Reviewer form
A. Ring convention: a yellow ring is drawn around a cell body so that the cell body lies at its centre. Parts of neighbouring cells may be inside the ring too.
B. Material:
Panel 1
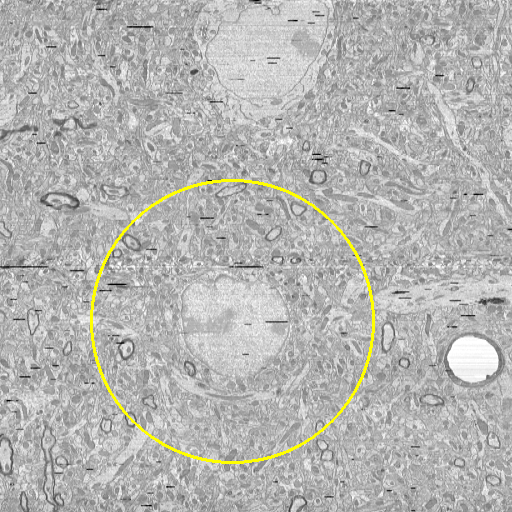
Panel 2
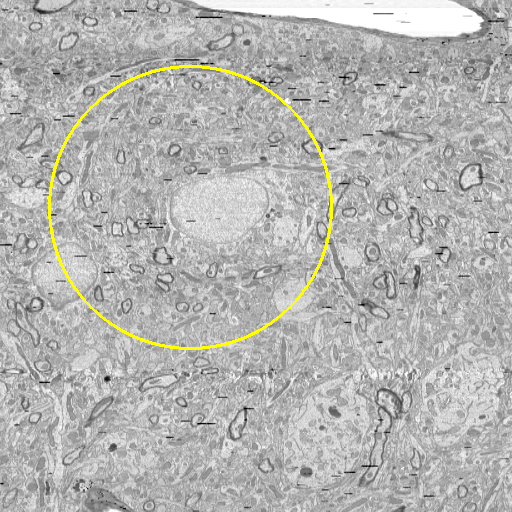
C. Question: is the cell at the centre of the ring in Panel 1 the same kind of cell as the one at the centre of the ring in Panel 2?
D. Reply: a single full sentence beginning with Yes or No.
Yes, the cells in Panel 1 and Panel 2 are the same kind of cell.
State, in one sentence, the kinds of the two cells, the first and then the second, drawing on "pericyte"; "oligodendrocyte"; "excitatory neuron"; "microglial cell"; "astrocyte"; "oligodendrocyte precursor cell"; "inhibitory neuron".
The ring centre holds an astrocyte in each of the two pictures.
